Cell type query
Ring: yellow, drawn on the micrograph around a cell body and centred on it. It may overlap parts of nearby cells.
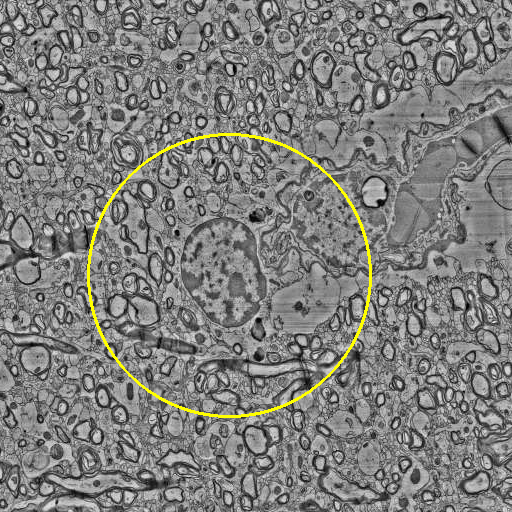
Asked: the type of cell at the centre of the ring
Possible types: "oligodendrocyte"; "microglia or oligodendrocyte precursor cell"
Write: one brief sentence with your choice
The ring marks a microglial cell or oligodendrocyte precursor cell.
